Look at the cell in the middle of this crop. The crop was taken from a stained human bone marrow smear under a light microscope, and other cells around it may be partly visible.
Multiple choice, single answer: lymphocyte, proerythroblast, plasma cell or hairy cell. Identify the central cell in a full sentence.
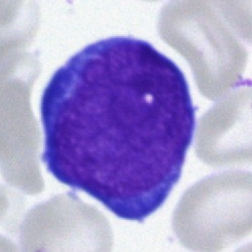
The single cell at the center of the crop is a proerythroblast.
